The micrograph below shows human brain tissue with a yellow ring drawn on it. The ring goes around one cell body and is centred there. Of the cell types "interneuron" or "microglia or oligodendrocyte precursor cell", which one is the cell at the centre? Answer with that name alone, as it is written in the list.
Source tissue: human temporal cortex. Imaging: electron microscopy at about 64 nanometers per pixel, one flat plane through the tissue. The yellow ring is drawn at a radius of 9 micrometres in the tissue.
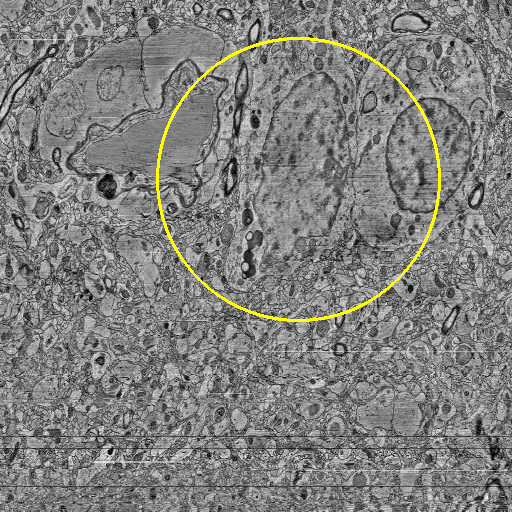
interneuron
